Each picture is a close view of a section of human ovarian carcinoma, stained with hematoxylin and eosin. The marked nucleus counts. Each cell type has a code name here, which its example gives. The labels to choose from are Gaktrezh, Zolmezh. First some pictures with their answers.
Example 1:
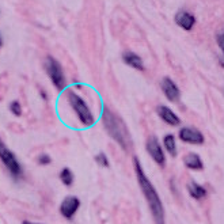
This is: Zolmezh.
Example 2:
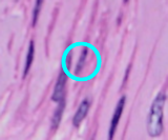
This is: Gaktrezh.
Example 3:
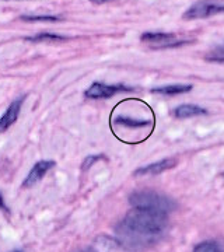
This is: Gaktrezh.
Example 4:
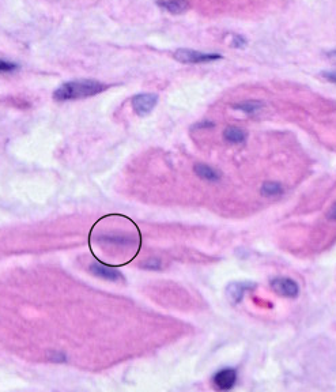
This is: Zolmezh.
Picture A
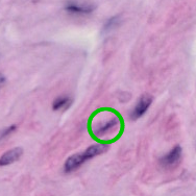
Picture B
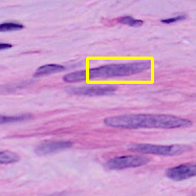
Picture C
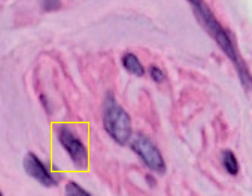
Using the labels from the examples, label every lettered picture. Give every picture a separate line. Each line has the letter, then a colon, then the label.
A: Zolmezh.
B: Zolmezh.
C: Zolmezh.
